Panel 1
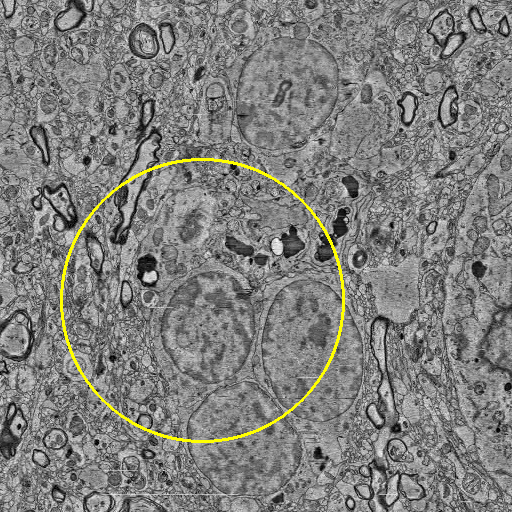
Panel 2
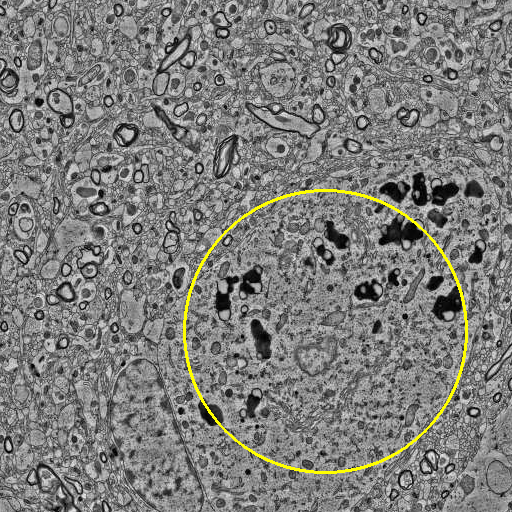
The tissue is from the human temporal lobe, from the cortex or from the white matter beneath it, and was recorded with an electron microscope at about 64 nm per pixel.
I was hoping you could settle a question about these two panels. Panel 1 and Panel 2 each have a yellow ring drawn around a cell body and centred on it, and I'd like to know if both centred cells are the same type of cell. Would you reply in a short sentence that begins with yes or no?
No, they are two types of cell.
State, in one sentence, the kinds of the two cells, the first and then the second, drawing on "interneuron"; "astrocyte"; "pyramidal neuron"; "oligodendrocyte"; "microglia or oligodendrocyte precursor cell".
The ring in the second picture is centred on a pyramidal neuron, the ring in the first on an oligodendrocyte.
